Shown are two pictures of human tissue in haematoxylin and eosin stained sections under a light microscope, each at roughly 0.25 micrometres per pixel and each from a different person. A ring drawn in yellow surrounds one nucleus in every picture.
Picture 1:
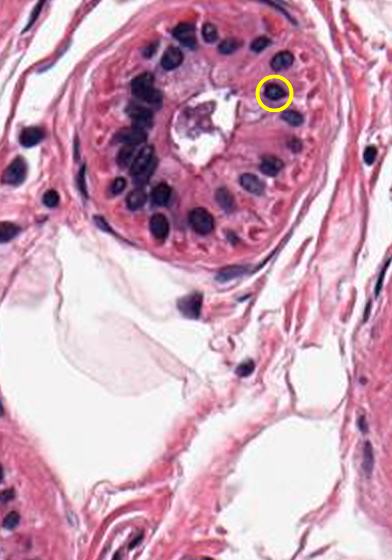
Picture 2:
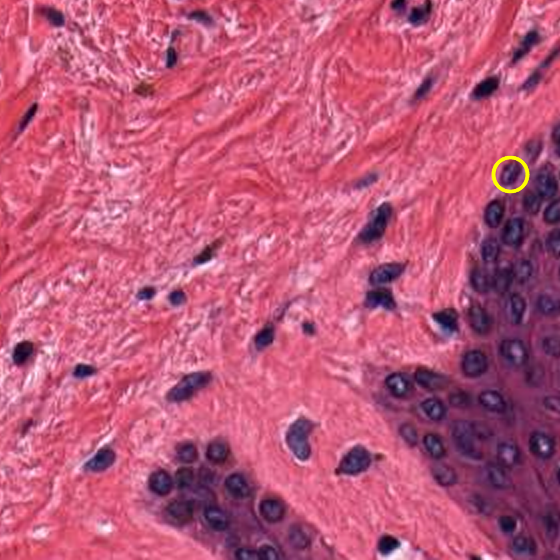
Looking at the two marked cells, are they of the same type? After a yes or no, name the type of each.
No, the first is a sweat gland cell and the second a keratinocyte.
